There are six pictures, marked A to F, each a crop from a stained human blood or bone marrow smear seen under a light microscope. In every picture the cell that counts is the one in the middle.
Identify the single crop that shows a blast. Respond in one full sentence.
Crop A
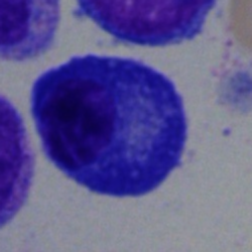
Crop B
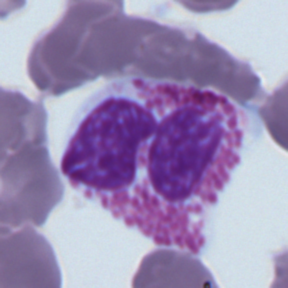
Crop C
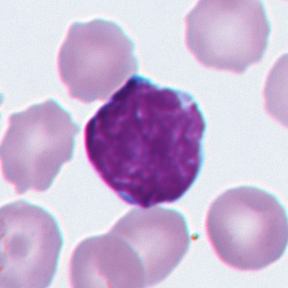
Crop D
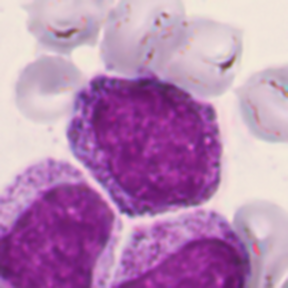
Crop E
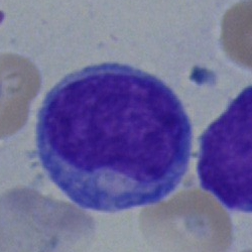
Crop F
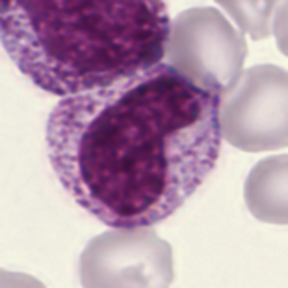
The crop marked E is the one in which a blast is shown.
